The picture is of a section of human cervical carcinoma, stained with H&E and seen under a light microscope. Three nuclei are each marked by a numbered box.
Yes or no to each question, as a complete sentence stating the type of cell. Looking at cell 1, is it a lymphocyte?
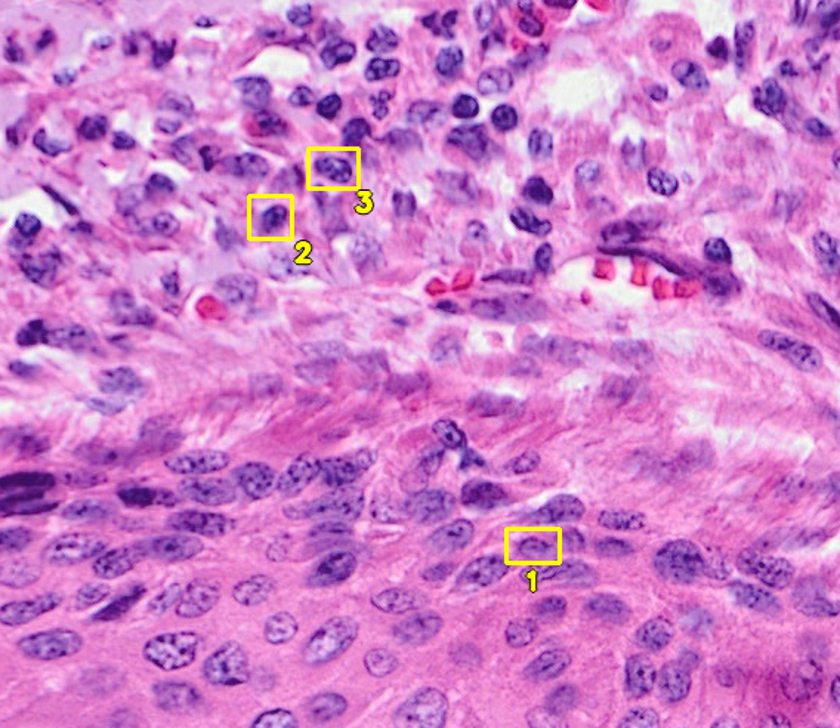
No, the cell marked 1 is a squamous carcinoma cell rather than a lymphocyte.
